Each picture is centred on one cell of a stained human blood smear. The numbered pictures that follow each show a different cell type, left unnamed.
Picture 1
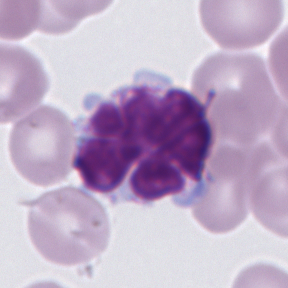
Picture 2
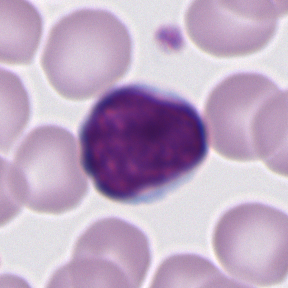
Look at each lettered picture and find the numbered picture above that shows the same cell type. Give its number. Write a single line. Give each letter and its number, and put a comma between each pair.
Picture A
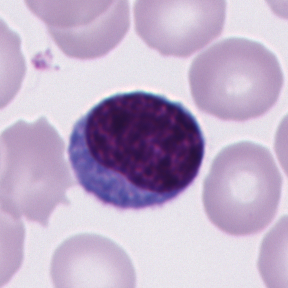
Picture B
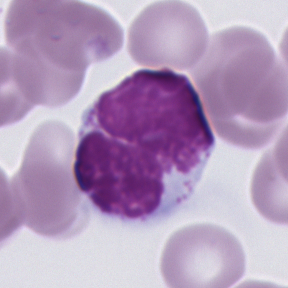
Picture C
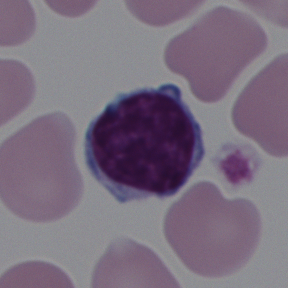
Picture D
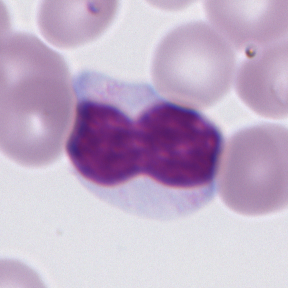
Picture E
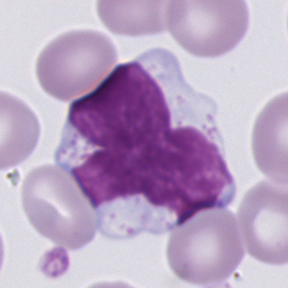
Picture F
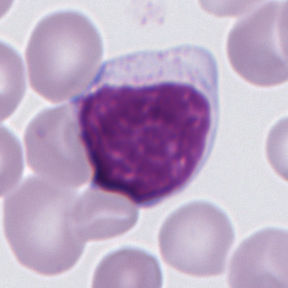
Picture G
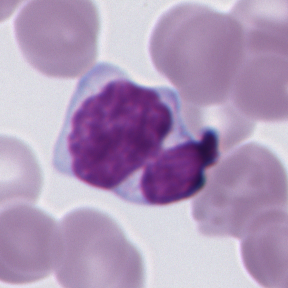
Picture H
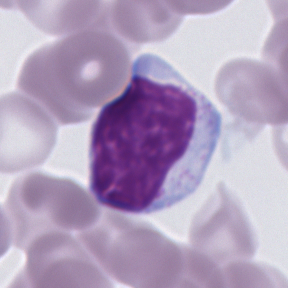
A 2, B 1, C 2, D 1, E 1, F 1, G 1, H 1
